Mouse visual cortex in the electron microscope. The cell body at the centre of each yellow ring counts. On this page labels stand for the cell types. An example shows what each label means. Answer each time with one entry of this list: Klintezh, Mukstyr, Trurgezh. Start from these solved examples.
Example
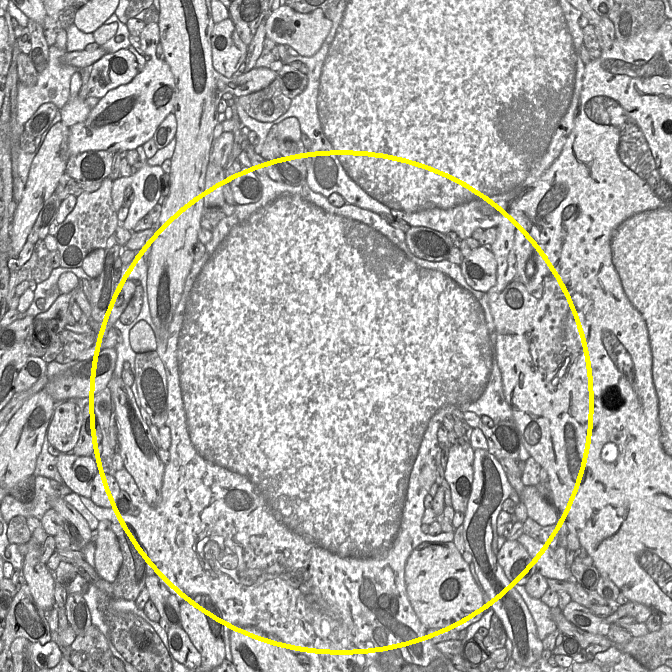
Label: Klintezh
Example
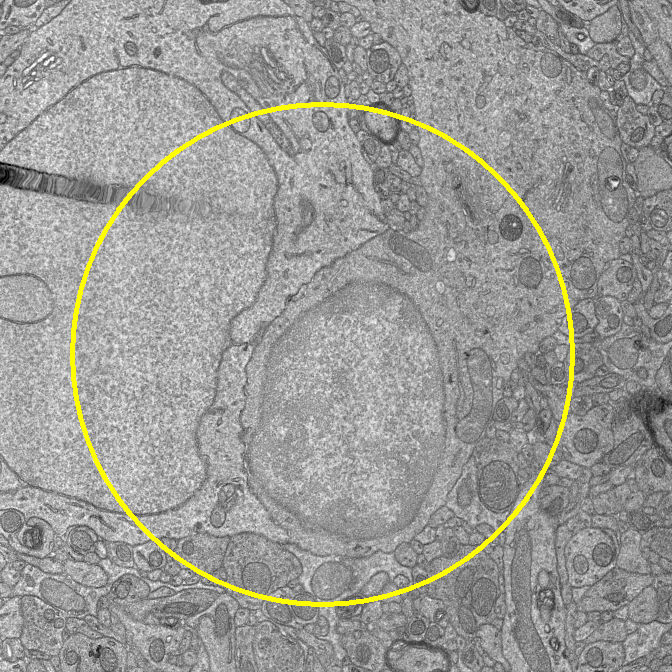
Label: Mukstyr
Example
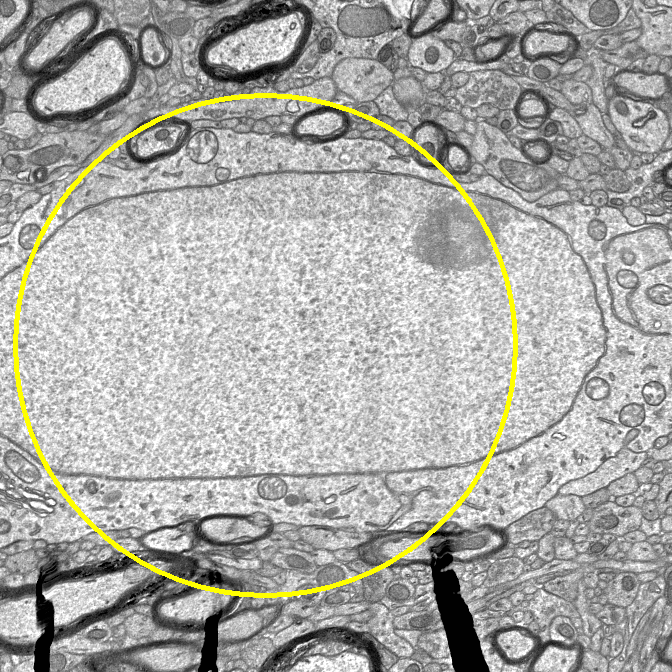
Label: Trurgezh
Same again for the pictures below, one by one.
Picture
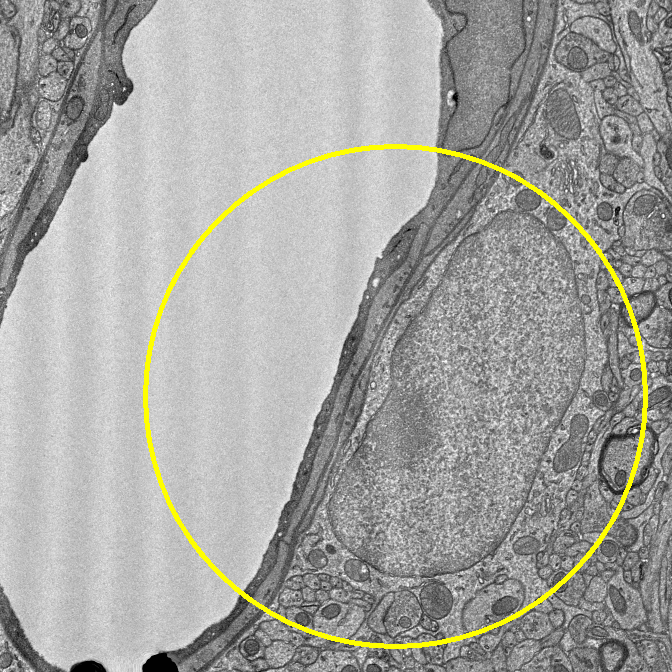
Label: Klintezh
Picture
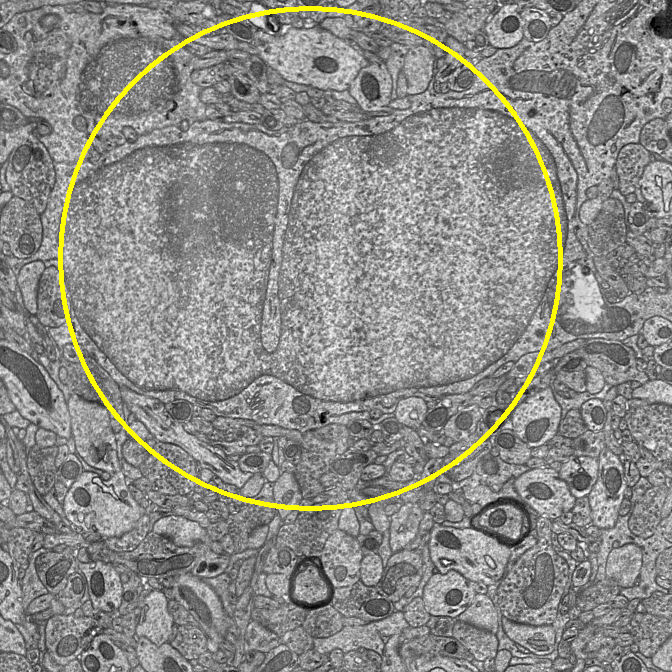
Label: Klintezh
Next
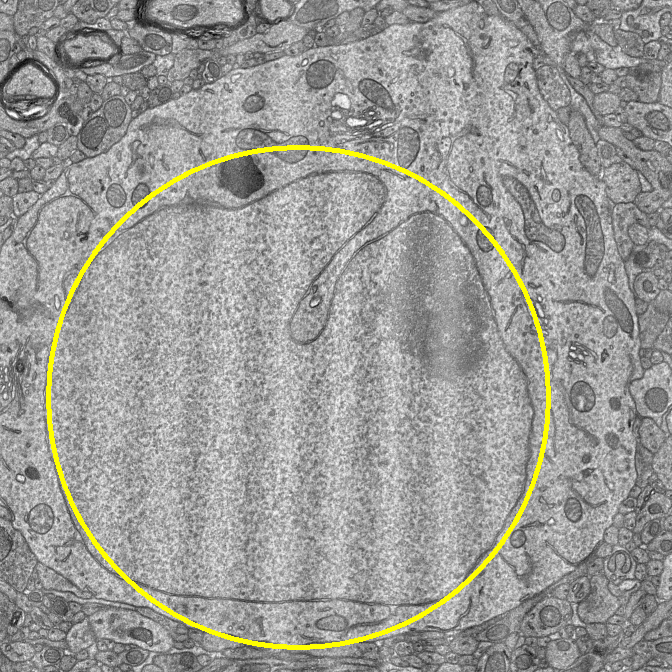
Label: Trurgezh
